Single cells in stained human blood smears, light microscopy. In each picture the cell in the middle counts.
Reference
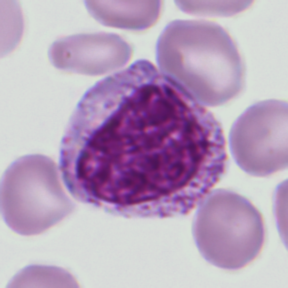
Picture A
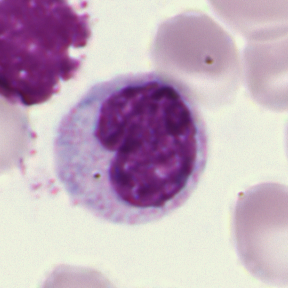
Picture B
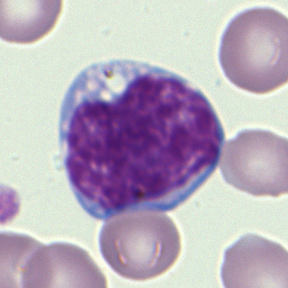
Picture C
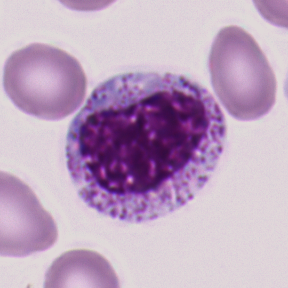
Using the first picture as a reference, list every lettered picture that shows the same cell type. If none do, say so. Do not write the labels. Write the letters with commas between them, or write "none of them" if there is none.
A, C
